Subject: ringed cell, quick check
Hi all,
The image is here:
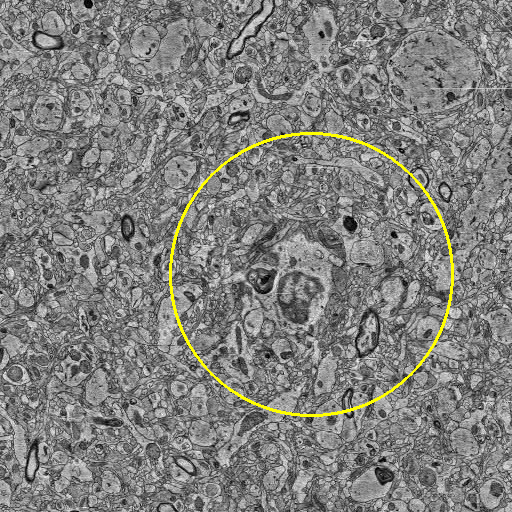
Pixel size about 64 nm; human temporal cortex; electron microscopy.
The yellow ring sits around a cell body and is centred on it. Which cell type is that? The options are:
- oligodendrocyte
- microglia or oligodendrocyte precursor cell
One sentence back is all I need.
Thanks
That ringed cell is a microglial cell or oligodendrocyte precursor cell.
